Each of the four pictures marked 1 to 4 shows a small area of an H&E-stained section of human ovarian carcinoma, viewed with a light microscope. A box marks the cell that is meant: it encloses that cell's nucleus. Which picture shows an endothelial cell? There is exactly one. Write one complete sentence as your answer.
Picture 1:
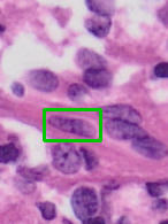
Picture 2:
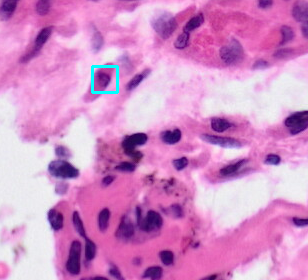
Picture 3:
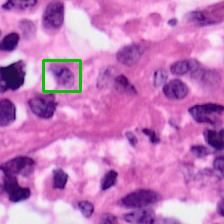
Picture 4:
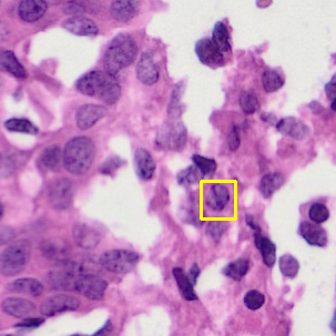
The cell in picture 1 is the endothelial cell.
